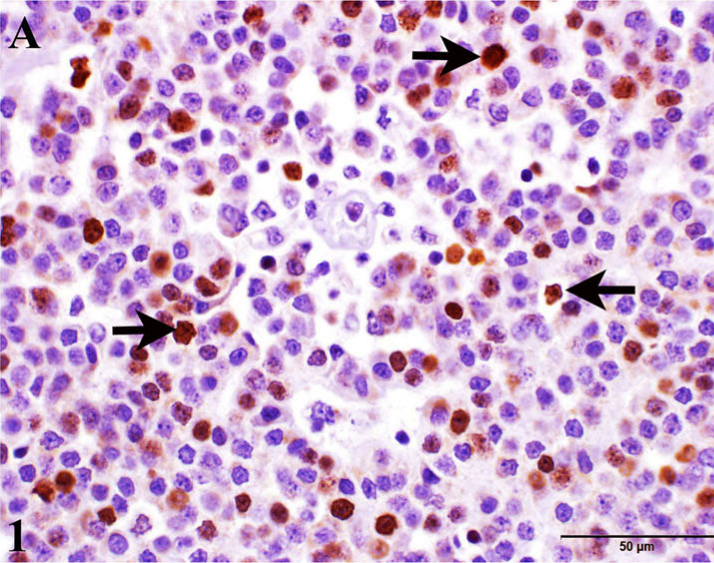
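This section shows densely packed tumor cells with round nuclei. Many of the nuclei are stained brown, and the rest carry only the blue counterstain. The intensity of the brown varies. Some nuclei are a dark, solid brown, while others are pale or speckled brown. The positive and negative nuclei are intermixed throughout the field. The cells are small to medium in size with scant pale cytoplasm. Small clear spaces separate some of the cells.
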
